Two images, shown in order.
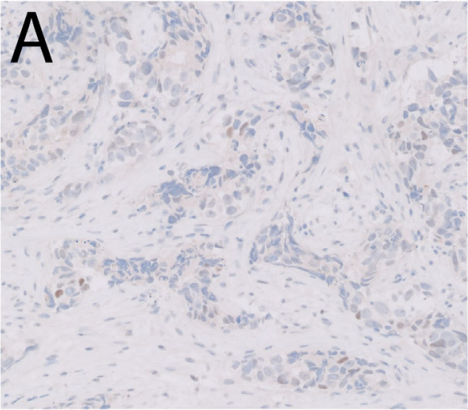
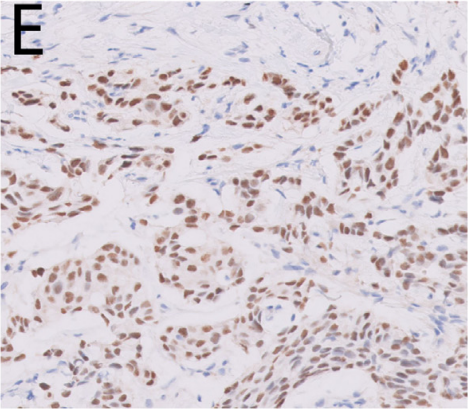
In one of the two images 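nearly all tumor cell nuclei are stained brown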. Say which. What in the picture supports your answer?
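Second image: almost every nucleus in the tumor nests is brown. First image: the tumor nuclei are almost all blue, with only rare brown ones.
Conclusion: the second image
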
